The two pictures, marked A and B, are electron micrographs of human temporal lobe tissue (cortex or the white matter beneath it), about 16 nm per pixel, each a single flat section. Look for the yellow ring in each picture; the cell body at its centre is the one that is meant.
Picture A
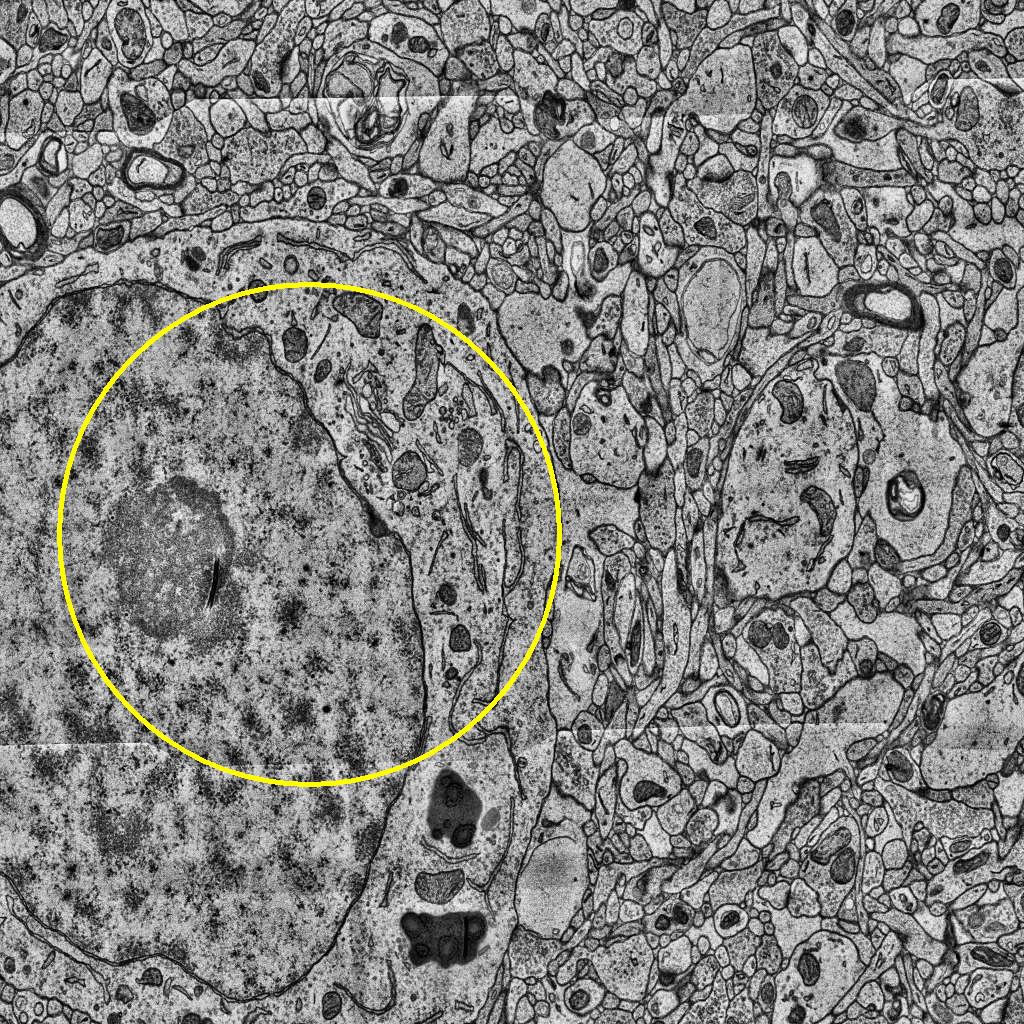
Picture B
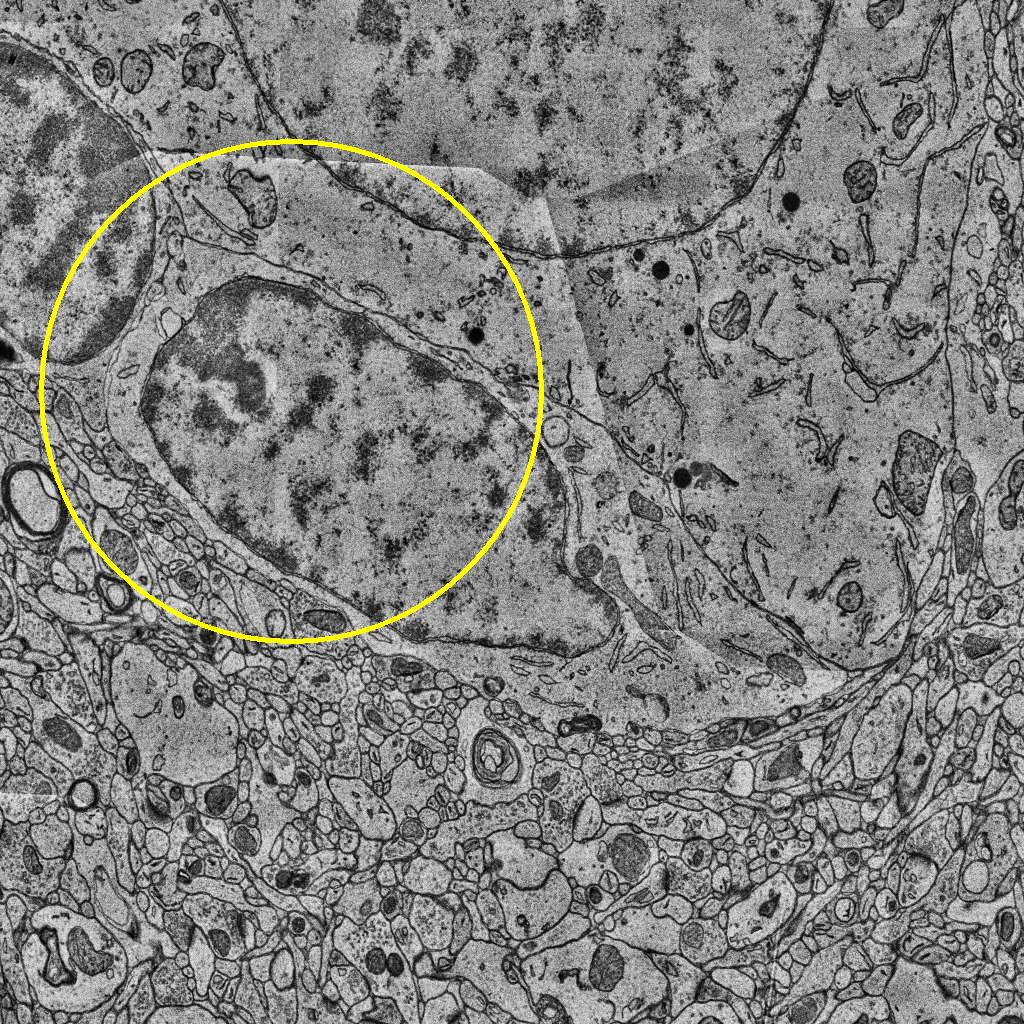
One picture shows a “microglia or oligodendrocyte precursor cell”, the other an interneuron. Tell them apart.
Picture B shows a “microglia or oligodendrocyte precursor cell”, while picture A shows an interneuron.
